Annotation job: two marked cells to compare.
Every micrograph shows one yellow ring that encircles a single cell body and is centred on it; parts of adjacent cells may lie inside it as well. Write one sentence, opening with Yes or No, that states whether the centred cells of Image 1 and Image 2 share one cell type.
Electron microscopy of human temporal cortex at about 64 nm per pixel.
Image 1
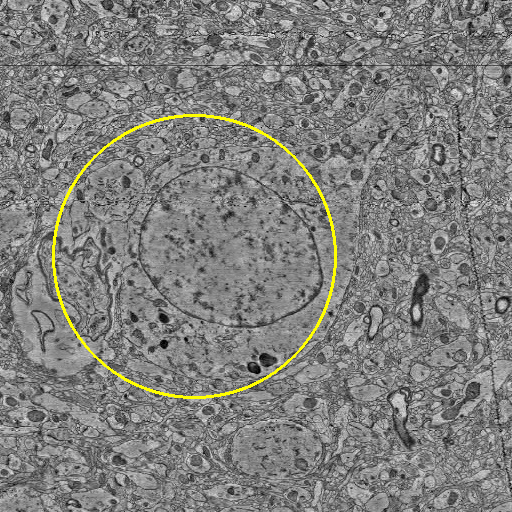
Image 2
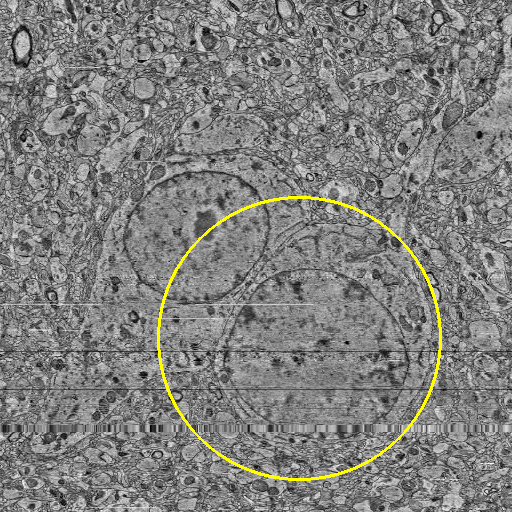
Yes, the cell centred in Image 1 shares its type with the cell centred in Image 2.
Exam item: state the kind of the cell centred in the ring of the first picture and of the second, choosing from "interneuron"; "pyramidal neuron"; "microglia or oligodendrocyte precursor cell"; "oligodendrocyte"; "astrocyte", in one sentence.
Each of the two pictures has a pyramidal neuron at the ring centre.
